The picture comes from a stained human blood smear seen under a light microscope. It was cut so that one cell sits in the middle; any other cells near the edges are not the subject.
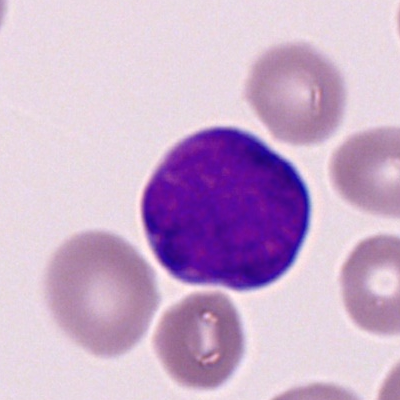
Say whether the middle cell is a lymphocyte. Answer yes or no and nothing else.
no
